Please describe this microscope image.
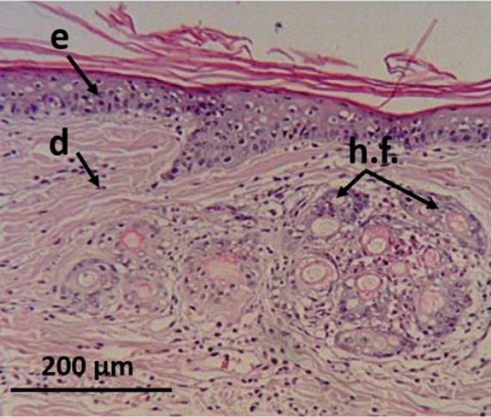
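Skin in section with epidermis, dermis and hair follicles. The epidermis is a stratified layer of cells with dark purple nuclei, covered by thin, wavy pink keratin lamellae. Beneath it the dermis consists of pale pink, loosely woven collagen bundles with scattered small dark nuclei. In the dermis lie clusters of hair follicles cut in cross section, each a ring of epithelial cells around a pink central core. The follicles are grouped together and surrounded by cellular connective tissue.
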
